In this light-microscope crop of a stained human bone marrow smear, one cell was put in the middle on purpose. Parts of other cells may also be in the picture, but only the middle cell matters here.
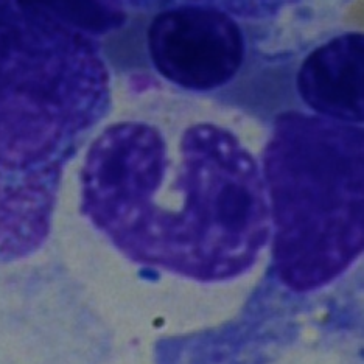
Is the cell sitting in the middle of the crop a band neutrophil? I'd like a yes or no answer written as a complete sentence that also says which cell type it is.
Yes, the cell in the middle is a band neutrophil.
